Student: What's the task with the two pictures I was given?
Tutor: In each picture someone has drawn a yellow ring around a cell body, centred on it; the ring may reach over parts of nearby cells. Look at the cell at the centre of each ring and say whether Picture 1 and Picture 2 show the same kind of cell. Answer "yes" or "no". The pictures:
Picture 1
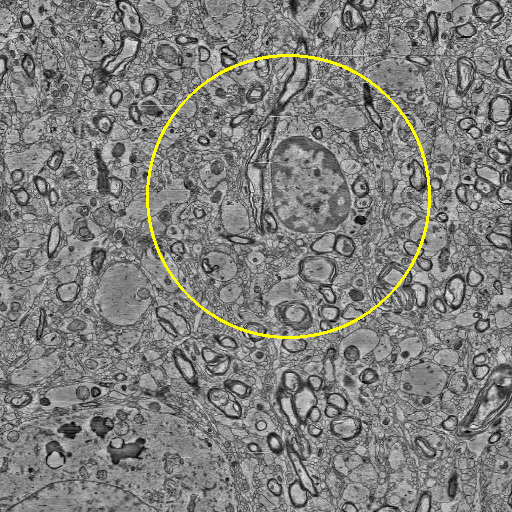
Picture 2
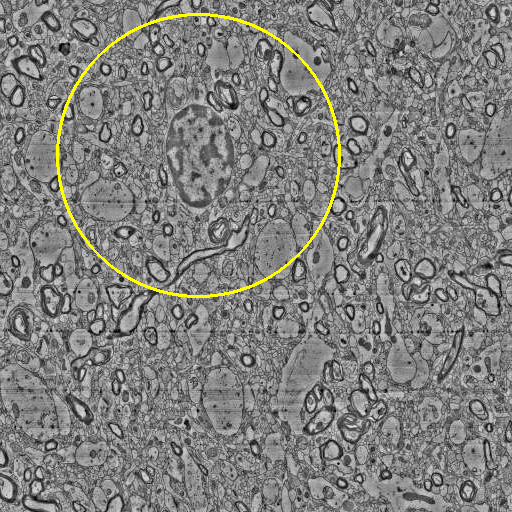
yes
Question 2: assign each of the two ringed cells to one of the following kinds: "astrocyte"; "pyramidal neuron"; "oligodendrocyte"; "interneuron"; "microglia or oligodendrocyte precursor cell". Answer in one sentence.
Each of the two pictures has a microglial cell or oligodendrocyte precursor cell at the ring centre.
